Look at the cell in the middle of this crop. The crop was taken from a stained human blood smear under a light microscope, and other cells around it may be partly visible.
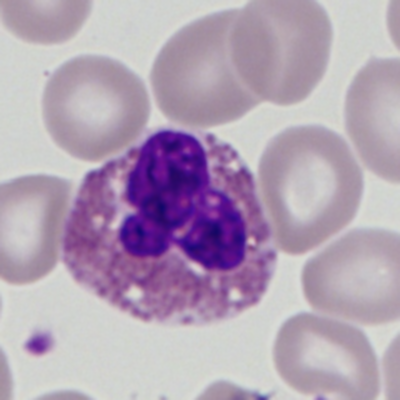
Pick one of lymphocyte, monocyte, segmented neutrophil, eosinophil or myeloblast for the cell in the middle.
eosinophil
